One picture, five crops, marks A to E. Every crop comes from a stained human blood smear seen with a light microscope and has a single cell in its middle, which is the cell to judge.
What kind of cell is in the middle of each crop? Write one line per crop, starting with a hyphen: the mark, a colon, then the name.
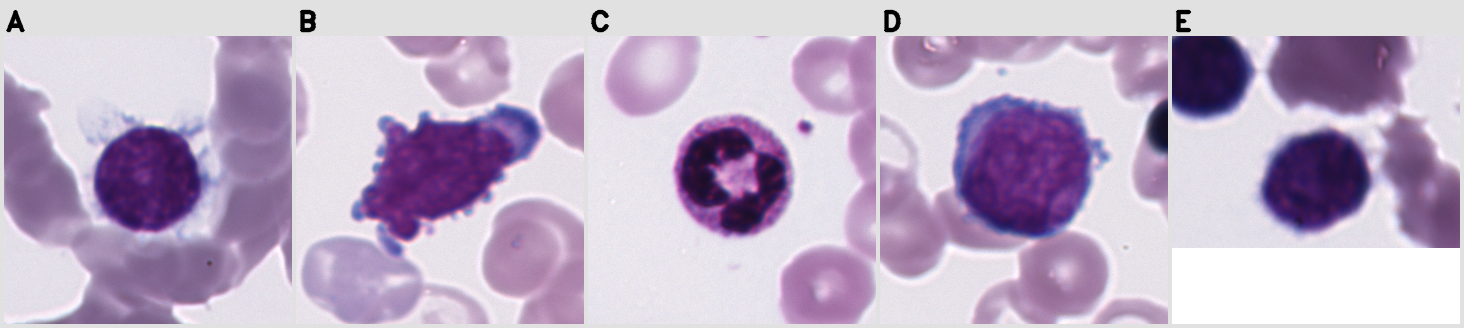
- A: hairy cell
- B: myeloblast
- C: segmented neutrophil
- D: myeloblast
- E: hairy cell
